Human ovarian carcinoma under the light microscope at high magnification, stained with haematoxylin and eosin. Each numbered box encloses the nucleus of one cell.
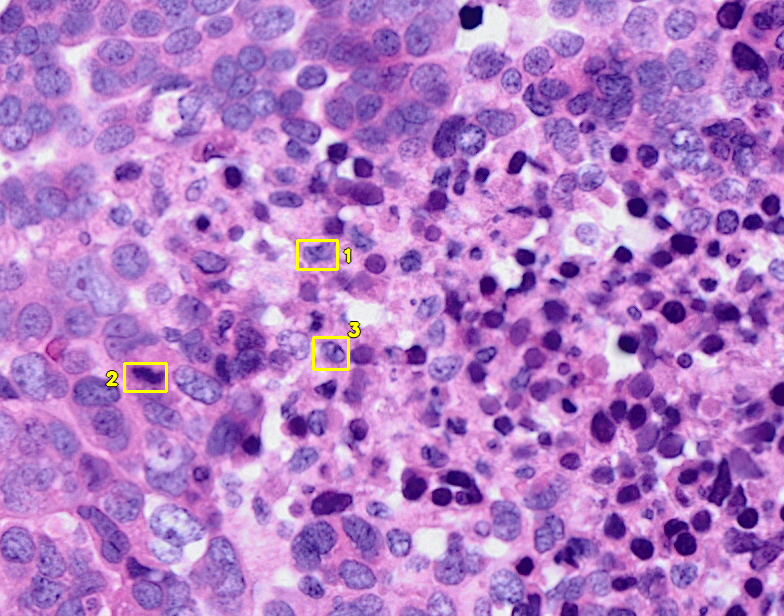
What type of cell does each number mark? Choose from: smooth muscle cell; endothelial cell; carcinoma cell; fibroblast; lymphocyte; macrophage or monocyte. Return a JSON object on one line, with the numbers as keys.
{"1": "macrophage or monocyte", "2": "carcinoma cell", "3": "macrophage or monocyte"}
